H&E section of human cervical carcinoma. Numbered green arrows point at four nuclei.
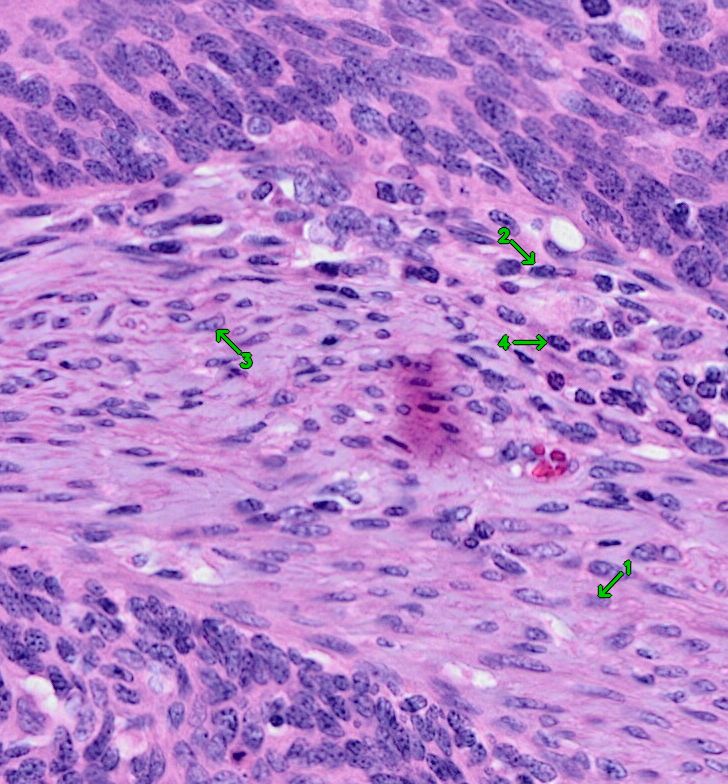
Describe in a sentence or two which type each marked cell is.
Cell 1 is a smooth muscle cell, cell 2 is a lymphocyte, cell 3 is a smooth muscle cell and cell 4 is a lymphocyte.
